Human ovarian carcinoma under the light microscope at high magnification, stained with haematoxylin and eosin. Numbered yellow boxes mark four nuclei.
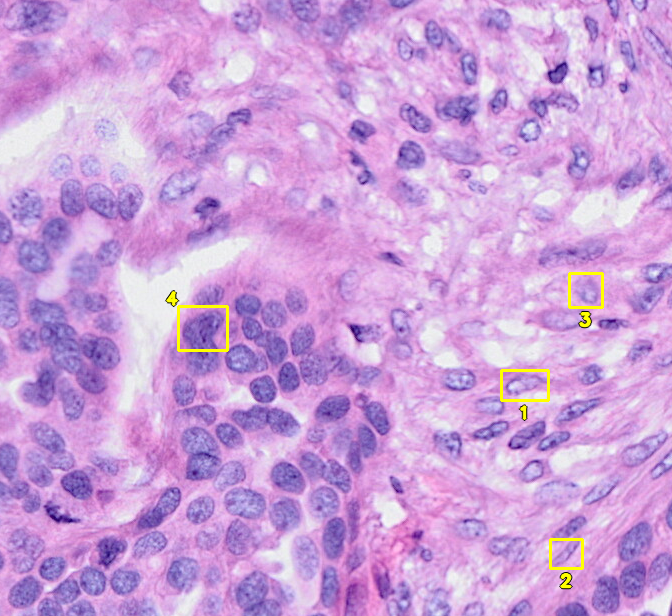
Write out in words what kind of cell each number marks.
Cells 1, 2 and 3 are fibroblasts. Cell 4 is a carcinoma cell.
